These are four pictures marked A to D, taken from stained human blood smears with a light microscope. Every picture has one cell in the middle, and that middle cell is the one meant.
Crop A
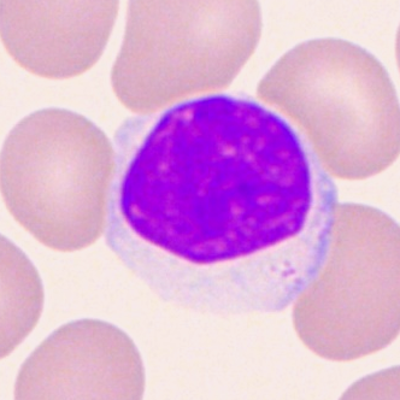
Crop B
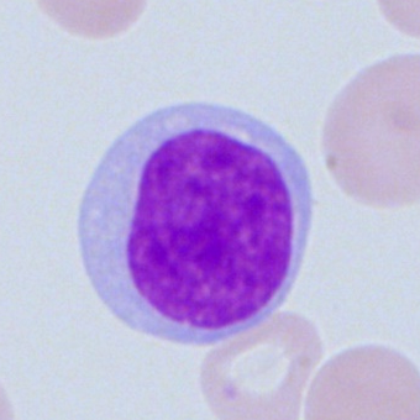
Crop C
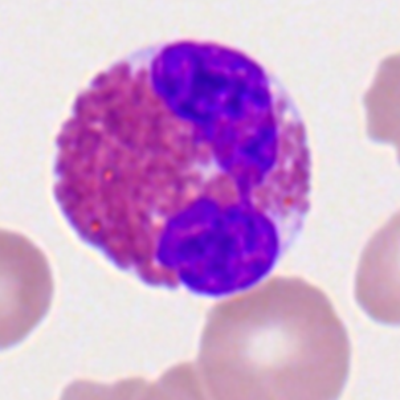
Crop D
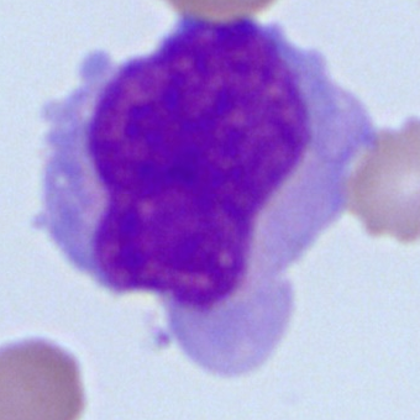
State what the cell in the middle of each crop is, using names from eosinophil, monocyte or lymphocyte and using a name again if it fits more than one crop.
A: lymphocyte
B: lymphocyte
C: eosinophil
D: monocyte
